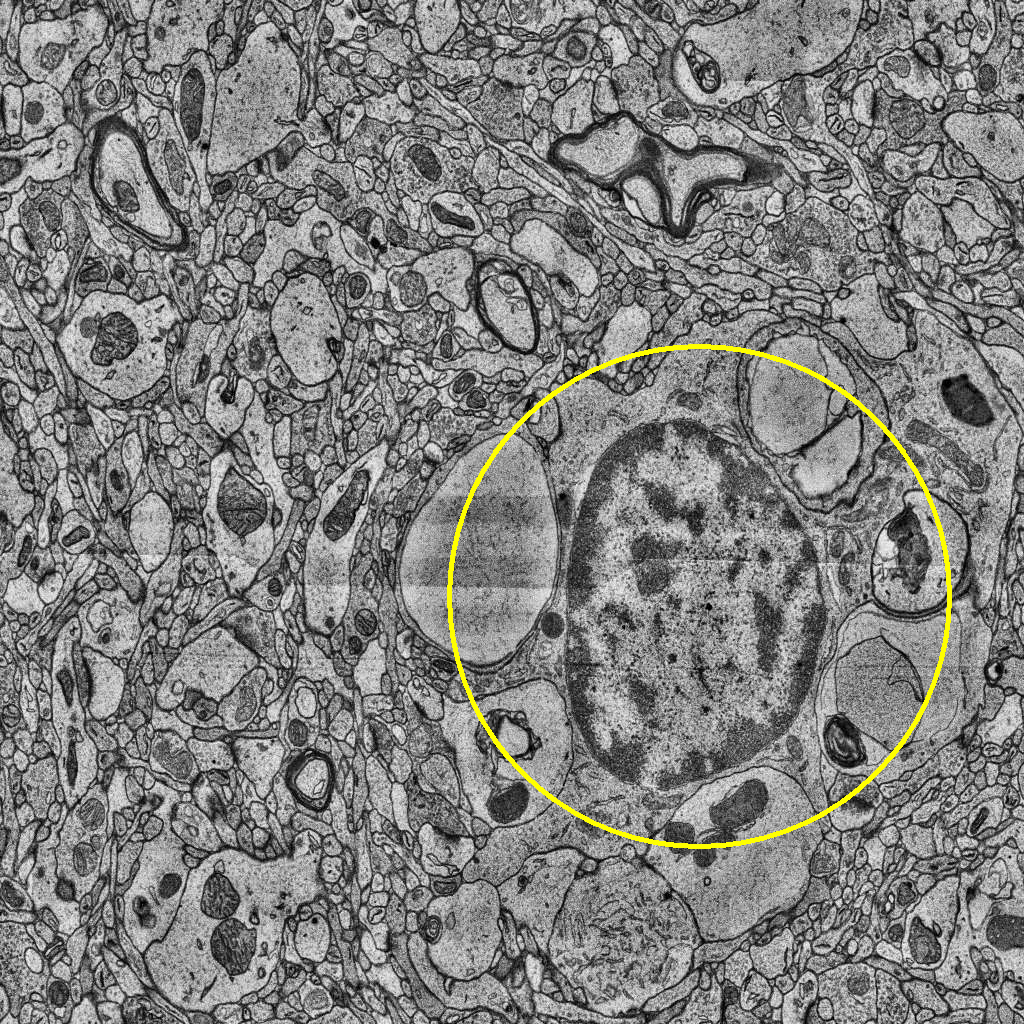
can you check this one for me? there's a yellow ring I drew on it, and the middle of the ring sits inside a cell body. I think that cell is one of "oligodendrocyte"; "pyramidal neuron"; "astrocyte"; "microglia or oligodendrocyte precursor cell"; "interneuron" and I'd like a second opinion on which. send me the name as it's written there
microglia or oligodendrocyte precursor cell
